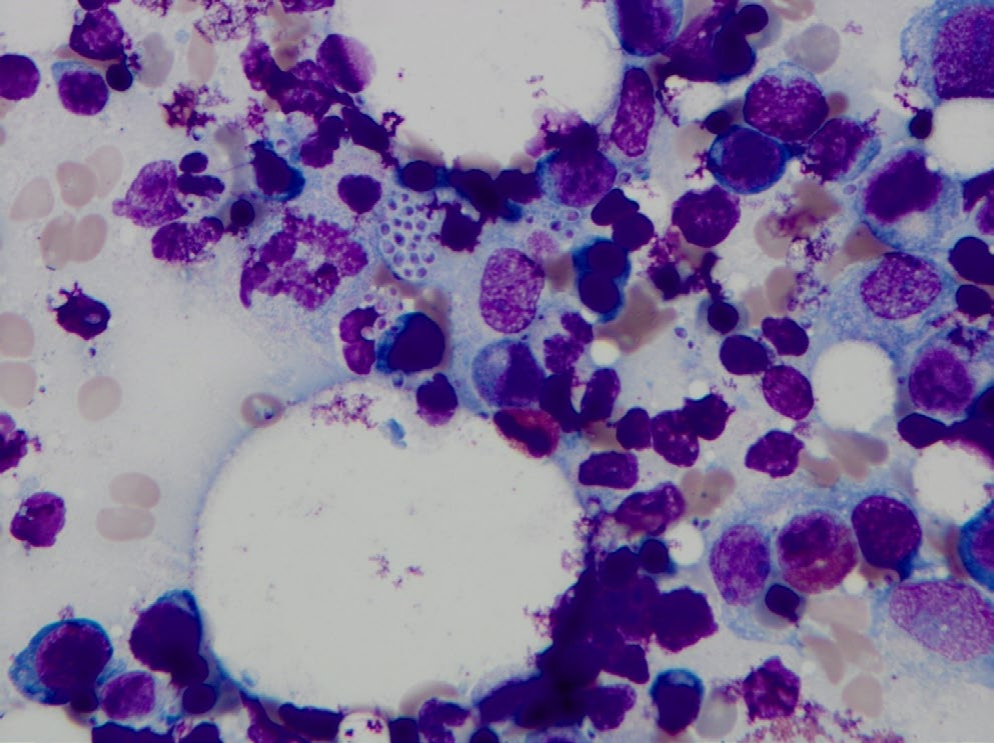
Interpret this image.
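This is a bone marrow smear with a crowded mix of marrow cells, among which are large macrophages, some holding engulfed material. Many small cells have round, dense, dark purple nuclei and scant cytoplasm. Others are larger, with round to oval nuclei of finer purple chromatin and a rim of blue cytoplasm. Near the top centre, a large cell with pale bluish cytoplasm contains many small round inclusions. Several large, round, clear spaces interrupt the cell spread. Pale pink-tan red cells lie scattered between the nucleated cells, especially at the left edge.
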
